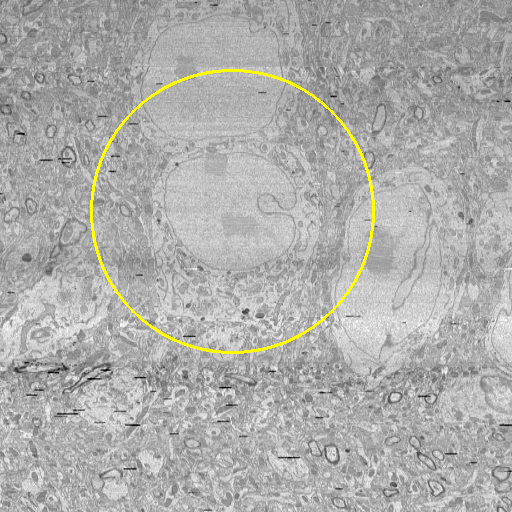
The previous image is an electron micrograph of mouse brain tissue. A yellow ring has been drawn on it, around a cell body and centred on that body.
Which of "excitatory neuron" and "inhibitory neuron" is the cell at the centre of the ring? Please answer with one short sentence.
The cell body at the centre of the ring belongs to an inhibitory neuron.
